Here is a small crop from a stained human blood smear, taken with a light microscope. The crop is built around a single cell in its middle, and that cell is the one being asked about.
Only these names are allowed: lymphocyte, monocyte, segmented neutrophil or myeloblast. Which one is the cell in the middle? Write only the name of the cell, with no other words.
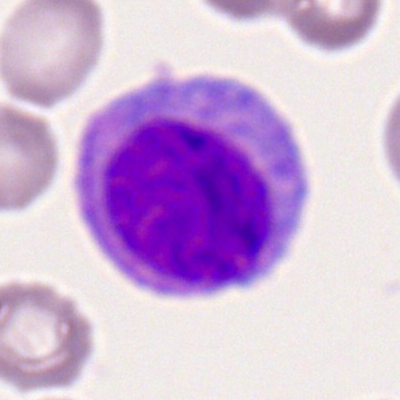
monocyte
